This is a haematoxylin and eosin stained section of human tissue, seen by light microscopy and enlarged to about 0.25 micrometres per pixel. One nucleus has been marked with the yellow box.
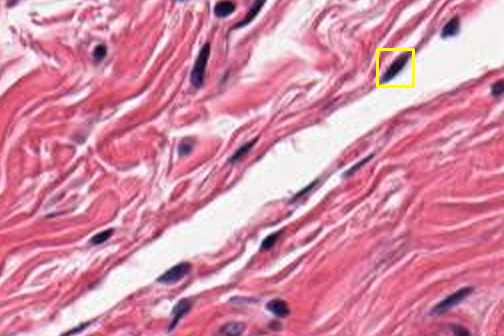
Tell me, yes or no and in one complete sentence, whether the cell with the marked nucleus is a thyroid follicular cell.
No, the marked nucleus is the nucleus of a supporting cell rather than of a thyroid follicular cell.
